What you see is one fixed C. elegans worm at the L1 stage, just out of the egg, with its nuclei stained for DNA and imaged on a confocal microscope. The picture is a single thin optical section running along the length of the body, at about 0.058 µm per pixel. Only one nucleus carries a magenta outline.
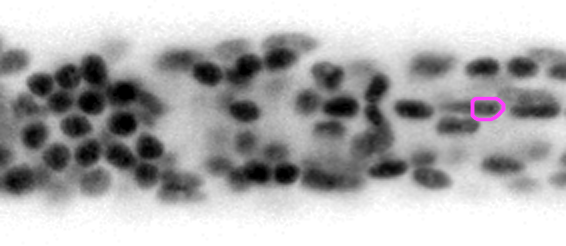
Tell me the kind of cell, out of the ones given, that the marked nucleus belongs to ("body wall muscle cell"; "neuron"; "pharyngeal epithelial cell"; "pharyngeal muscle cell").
pharyngeal epithelial cell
